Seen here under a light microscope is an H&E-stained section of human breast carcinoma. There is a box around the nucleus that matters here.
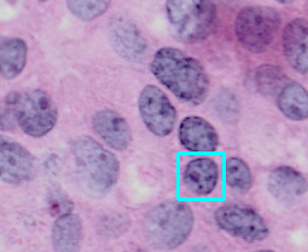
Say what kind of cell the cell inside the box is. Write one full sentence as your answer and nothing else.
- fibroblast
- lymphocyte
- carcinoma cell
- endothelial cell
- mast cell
By cell type, the cell inside the box is a carcinoma cell.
